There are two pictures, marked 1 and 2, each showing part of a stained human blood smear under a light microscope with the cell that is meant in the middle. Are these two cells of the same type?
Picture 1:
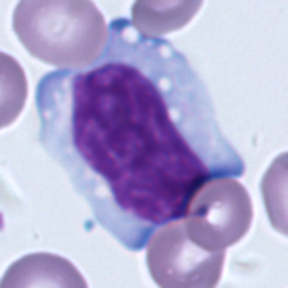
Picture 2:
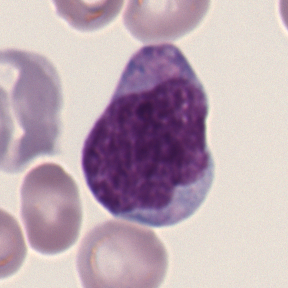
no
